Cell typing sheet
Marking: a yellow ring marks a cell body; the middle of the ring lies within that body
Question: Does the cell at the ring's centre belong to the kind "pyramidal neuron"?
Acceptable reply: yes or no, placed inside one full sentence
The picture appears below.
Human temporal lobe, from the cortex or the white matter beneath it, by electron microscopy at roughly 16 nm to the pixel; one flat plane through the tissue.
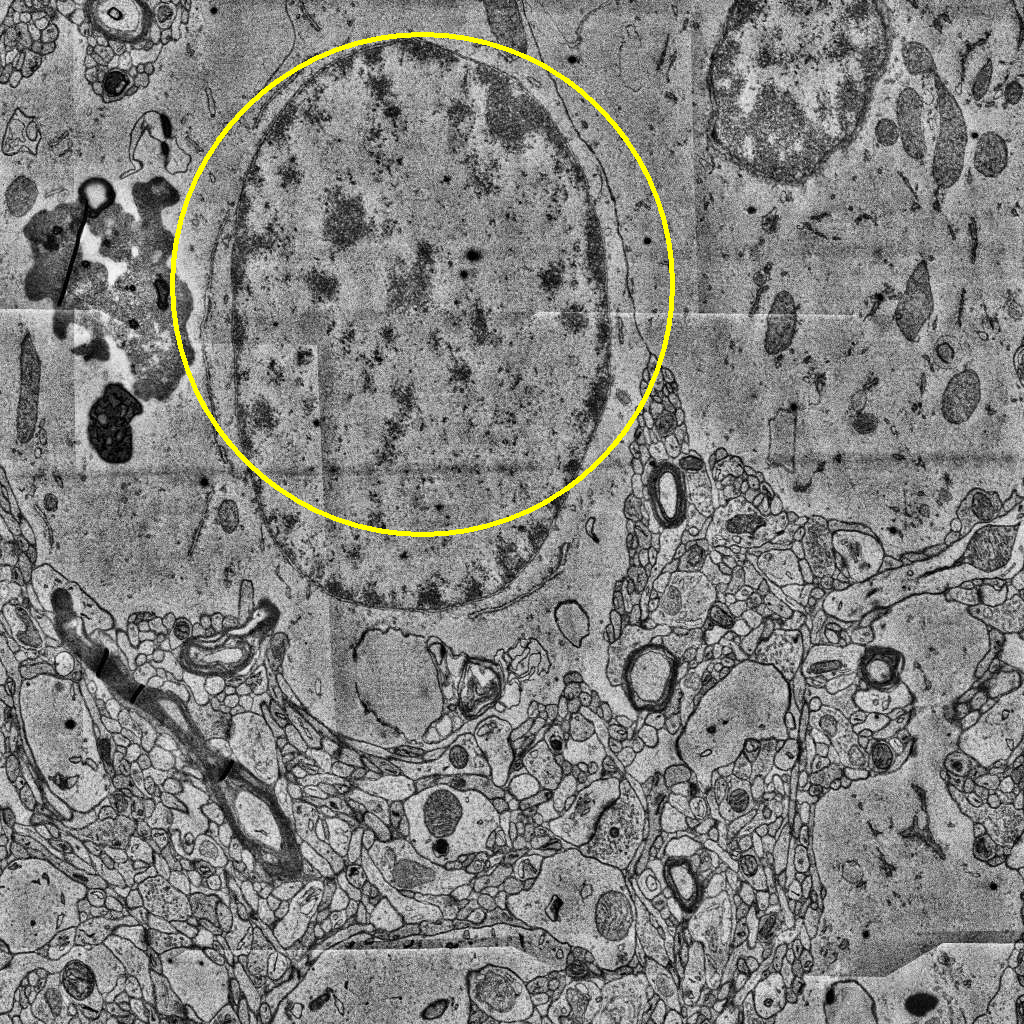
No, the cell at the centre of the ring belongs to a different kind.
